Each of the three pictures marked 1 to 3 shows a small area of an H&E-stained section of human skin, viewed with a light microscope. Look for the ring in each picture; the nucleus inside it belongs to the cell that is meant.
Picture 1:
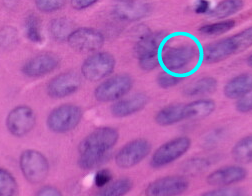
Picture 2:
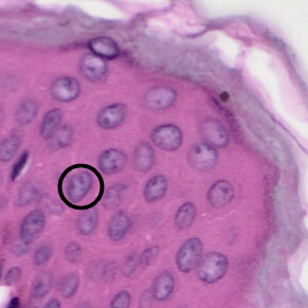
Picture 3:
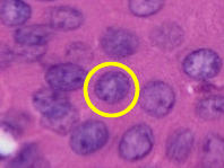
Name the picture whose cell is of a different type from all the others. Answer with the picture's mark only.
1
